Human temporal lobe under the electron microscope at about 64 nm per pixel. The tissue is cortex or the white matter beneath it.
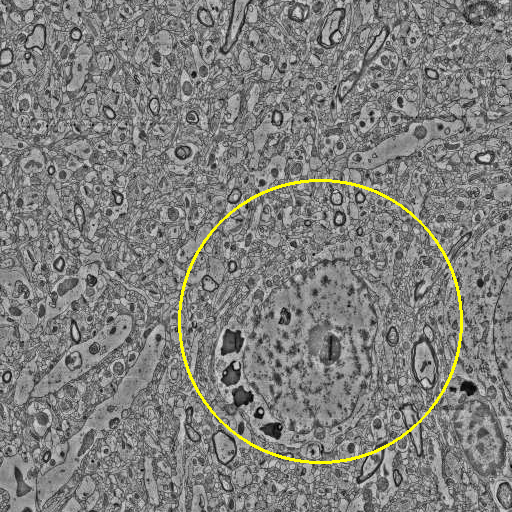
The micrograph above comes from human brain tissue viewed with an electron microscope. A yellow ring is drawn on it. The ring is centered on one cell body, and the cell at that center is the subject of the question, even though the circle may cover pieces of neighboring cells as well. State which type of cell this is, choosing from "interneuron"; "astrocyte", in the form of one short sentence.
The cell the ring is centered on is an interneuron.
